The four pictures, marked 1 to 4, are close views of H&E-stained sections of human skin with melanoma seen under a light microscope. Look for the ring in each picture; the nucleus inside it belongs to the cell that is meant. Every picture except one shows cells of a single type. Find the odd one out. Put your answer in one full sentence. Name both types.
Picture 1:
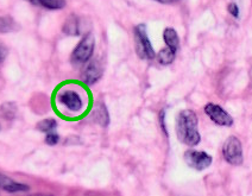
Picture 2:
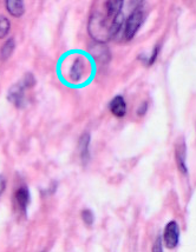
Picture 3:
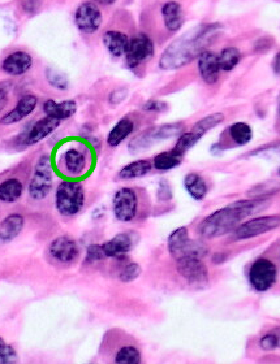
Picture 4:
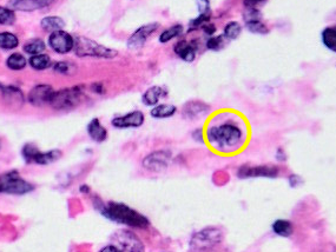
Picture 3 is the odd one out: it shows a plasma cell, while the others show lymphocytes.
